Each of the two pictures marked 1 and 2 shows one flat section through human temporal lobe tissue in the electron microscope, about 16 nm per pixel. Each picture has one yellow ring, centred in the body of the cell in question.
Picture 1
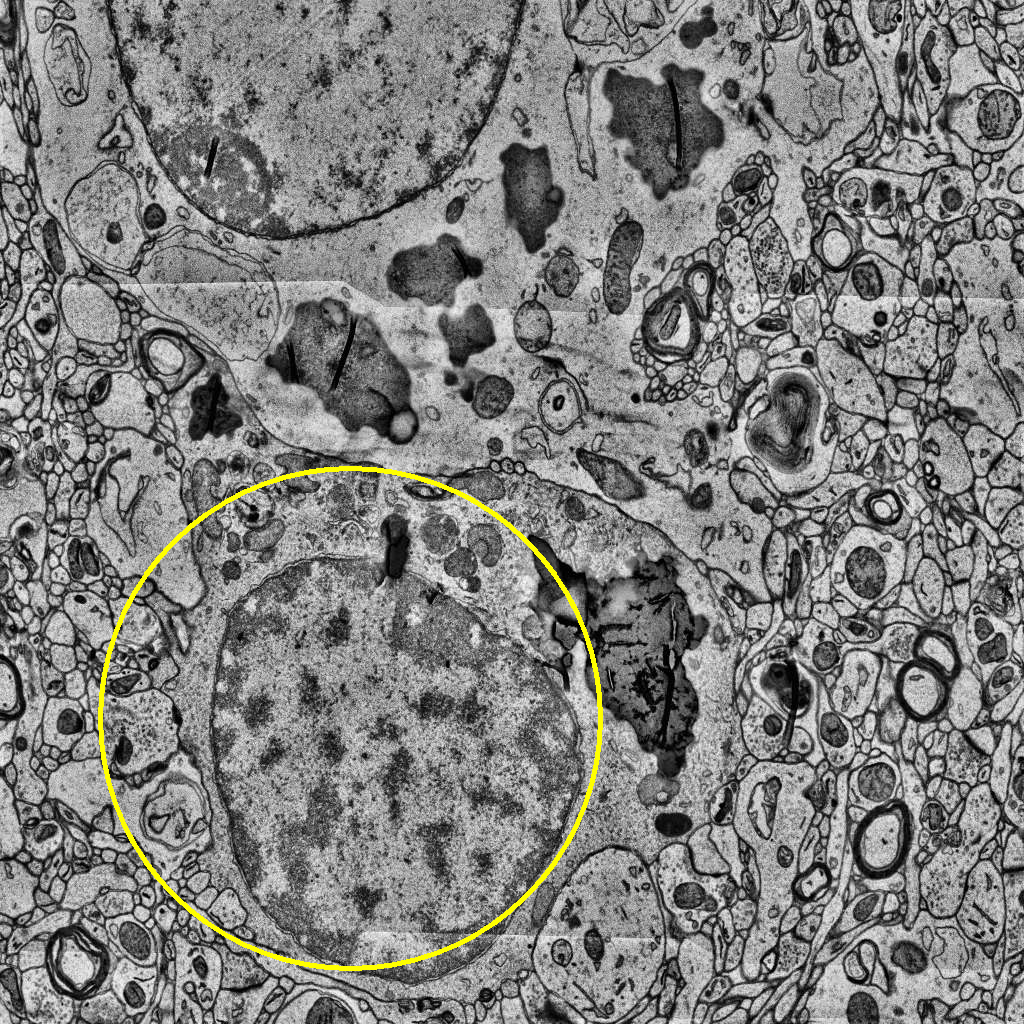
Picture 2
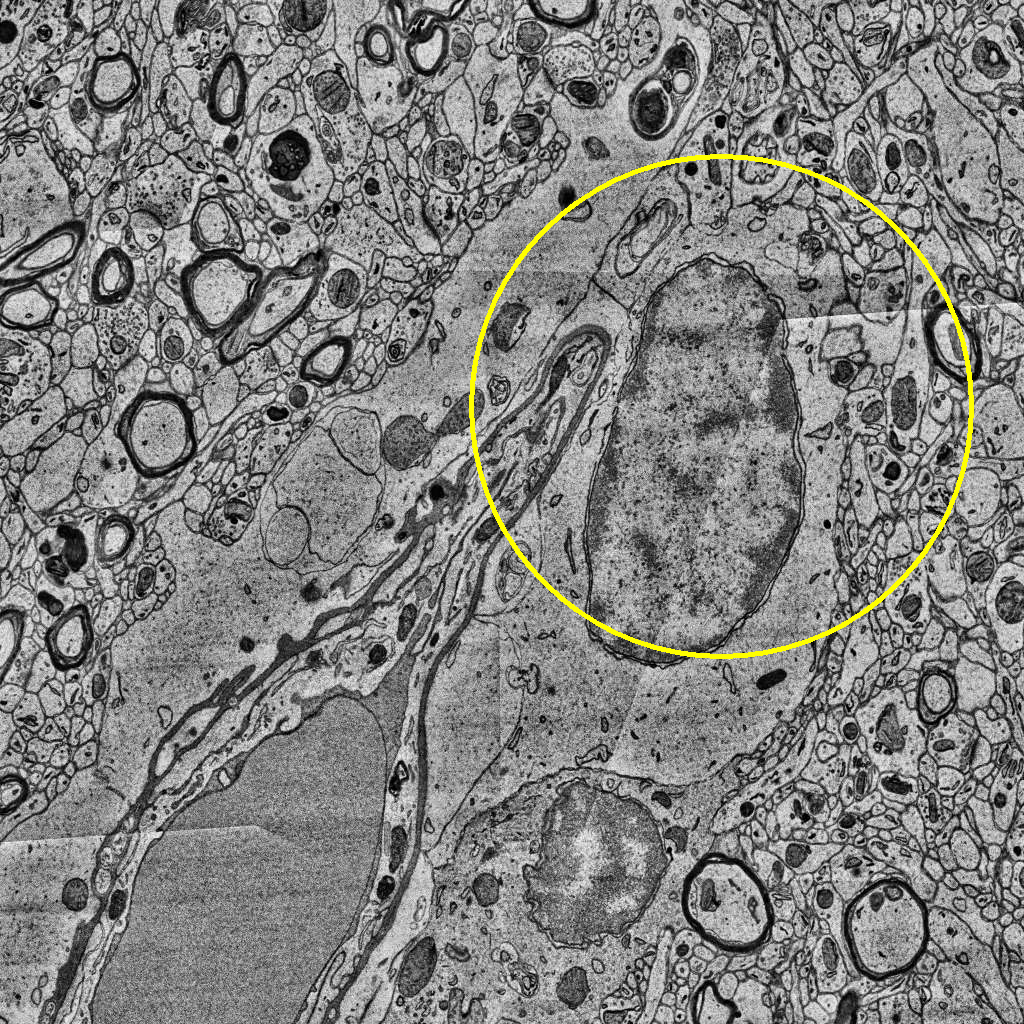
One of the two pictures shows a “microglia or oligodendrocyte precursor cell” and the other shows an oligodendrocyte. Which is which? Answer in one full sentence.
Picture 1 shows an oligodendrocyte and picture 2 shows a “microglia or oligodendrocyte precursor cell”.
